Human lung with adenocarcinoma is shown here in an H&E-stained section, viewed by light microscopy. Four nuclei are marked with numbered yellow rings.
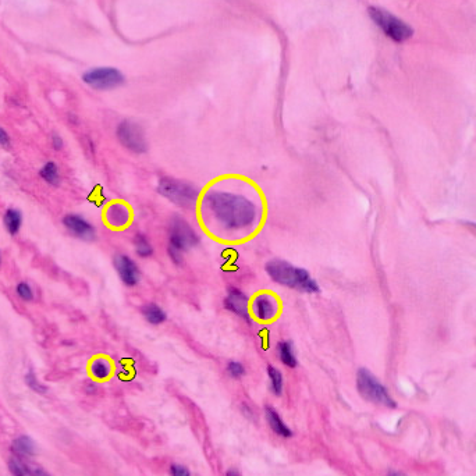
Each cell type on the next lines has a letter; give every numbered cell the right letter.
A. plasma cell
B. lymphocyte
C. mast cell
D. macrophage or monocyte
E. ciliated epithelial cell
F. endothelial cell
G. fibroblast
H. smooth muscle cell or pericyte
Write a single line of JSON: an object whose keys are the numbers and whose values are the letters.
{"1": "H", "2": "G", "3": "H", "4": "H"}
